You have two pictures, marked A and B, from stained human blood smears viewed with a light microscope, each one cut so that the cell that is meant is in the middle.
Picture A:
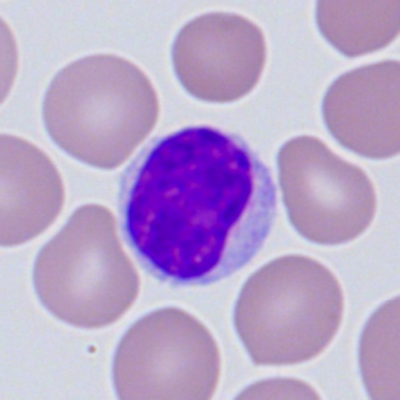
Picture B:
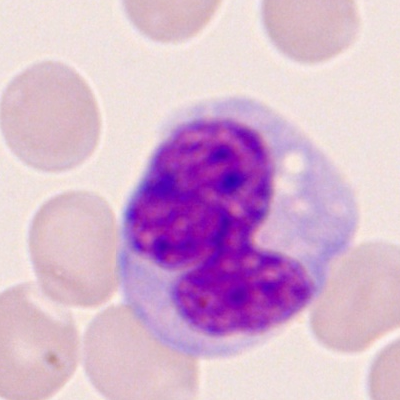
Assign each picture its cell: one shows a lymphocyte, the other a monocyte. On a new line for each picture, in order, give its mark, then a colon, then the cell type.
A: lymphocyte
B: monocyte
